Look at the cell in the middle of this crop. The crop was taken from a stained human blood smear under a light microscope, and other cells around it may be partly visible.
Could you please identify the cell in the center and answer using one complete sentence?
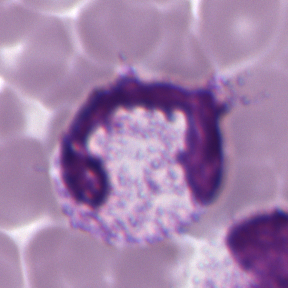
The cell under consideration, at the middle of the crop, is a segmented neutrophil.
